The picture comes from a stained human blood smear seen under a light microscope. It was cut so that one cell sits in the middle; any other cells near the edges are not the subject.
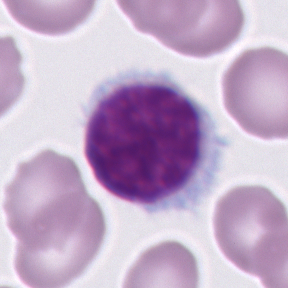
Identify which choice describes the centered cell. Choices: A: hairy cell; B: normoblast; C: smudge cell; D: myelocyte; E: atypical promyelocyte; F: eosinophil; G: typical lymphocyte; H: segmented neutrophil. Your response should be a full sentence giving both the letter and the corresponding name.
With the cell in the middle being a hairy cell, option A is the correct choice.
